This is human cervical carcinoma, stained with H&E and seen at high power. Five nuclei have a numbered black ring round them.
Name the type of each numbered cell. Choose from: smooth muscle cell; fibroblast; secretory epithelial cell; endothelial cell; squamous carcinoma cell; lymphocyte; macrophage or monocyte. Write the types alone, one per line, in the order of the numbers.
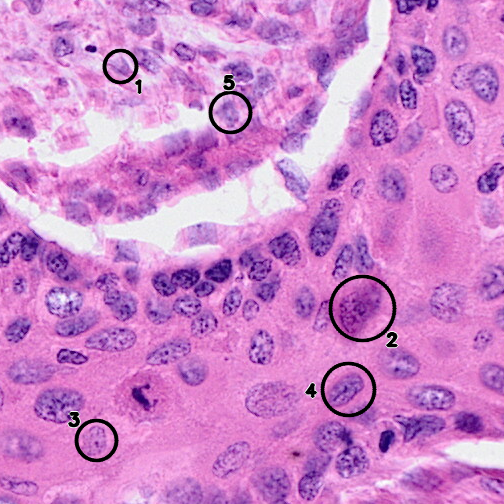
fibroblast
squamous carcinoma cell
squamous carcinoma cell
squamous carcinoma cell
fibroblast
